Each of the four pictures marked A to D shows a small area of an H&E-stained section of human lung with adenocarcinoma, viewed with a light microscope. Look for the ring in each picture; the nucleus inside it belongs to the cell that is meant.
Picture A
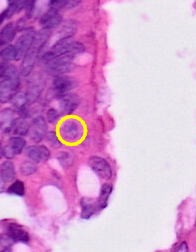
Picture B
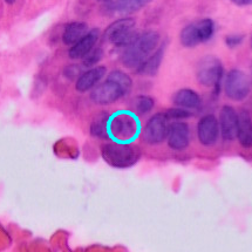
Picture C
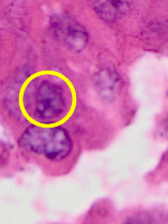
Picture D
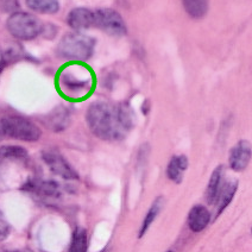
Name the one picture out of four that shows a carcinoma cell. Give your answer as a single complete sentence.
The carcinoma cell is the one in picture C.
